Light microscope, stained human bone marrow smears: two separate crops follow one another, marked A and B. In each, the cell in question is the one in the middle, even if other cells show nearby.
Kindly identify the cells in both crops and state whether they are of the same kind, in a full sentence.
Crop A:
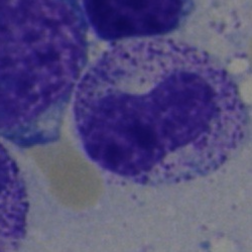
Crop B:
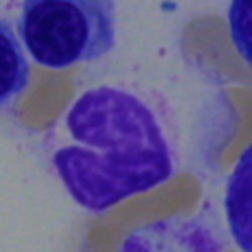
No, crop A shows a metamyelocyte, whereas a band neutrophil is what crop B shows.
